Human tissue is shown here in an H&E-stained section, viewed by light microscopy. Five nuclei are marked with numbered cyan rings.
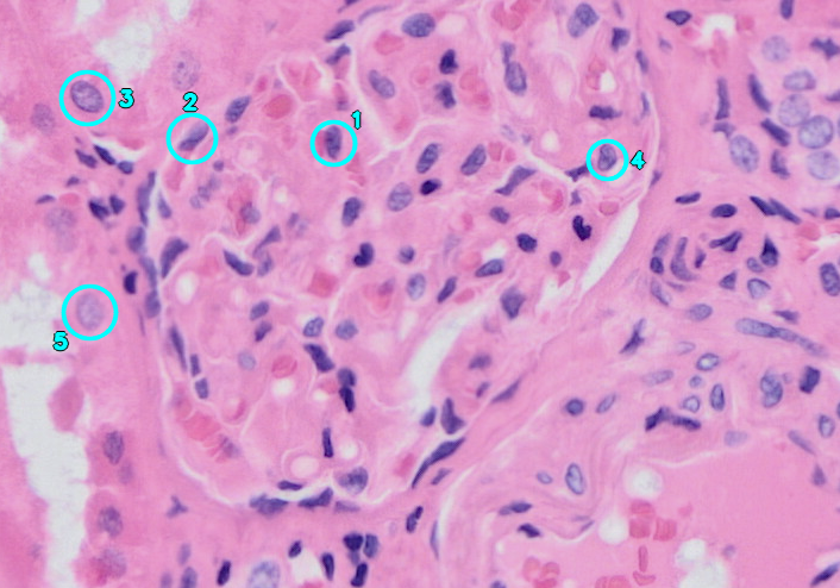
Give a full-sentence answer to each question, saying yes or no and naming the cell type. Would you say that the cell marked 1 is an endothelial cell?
Yes, number 1 corresponds to an endothelial cell.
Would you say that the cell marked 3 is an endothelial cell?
No, cell number 3 is identified as a proximal tubule cell, not as an endothelial cell.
